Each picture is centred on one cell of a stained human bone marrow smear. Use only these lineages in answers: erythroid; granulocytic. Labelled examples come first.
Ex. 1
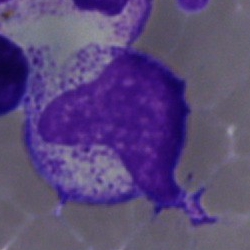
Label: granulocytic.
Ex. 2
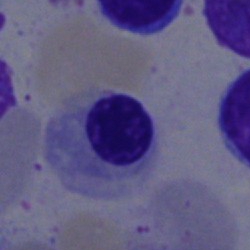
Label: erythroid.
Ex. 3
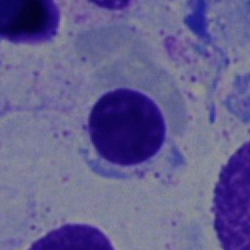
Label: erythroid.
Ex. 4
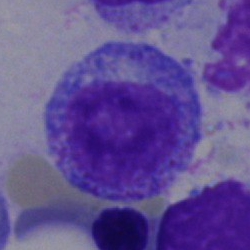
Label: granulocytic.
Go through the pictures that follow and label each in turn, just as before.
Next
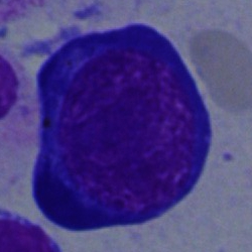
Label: erythroid.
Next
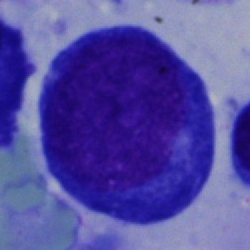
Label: erythroid.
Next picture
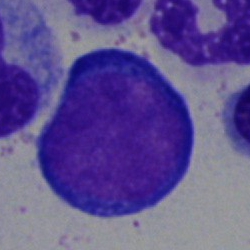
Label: erythroid.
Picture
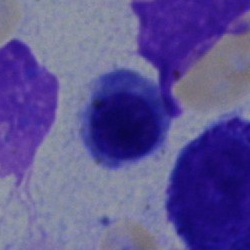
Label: erythroid.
